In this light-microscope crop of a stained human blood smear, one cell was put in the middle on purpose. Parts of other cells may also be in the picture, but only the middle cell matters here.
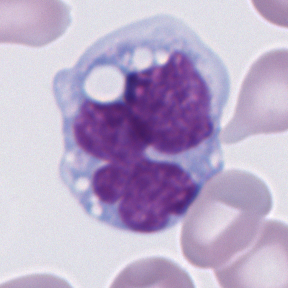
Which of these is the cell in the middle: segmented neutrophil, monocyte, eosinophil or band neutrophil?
monocyte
